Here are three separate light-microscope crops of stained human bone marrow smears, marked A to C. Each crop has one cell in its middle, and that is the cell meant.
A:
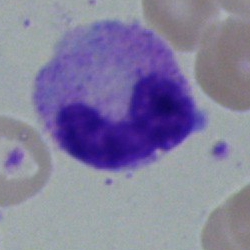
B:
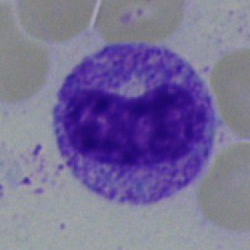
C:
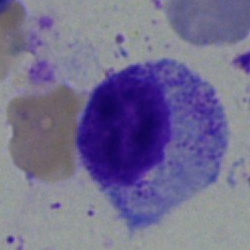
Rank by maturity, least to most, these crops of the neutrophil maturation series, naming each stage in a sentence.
The series, from least to most mature, is crop C (a myelocyte), crop B (a metamyelocyte) and crop A (a band neutrophil).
